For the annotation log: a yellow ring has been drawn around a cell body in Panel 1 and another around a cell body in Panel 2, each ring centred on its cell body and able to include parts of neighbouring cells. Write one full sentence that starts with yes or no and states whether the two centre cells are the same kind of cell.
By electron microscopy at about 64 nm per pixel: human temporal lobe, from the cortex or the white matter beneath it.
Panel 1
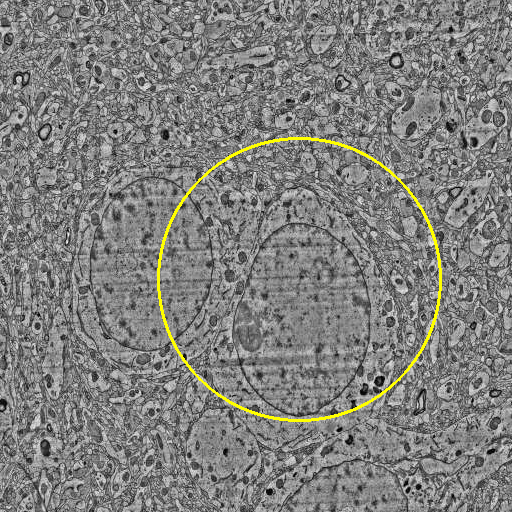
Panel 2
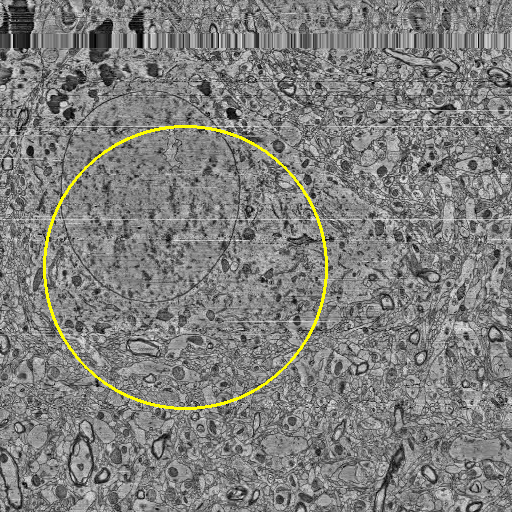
Yes, the two centre cells are the same kind of cell.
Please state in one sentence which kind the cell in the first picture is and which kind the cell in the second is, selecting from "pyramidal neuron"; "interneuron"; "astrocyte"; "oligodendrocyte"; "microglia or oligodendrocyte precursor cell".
In both pictures the ring is centred on a pyramidal neuron.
